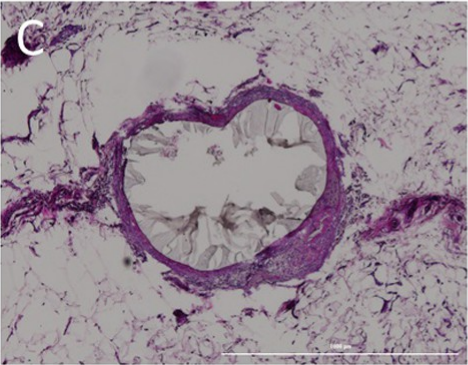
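Section showing a round, slightly indented pale implant encircled by a purple layer of fibrous and cellular tissue. The layer is uneven, thicker along the right and lower edges, with scattered dark nuclei within it. Around it lies loose pale fatty tissue with thin purple strands. The implant interior is grey with folded sheet-like material.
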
